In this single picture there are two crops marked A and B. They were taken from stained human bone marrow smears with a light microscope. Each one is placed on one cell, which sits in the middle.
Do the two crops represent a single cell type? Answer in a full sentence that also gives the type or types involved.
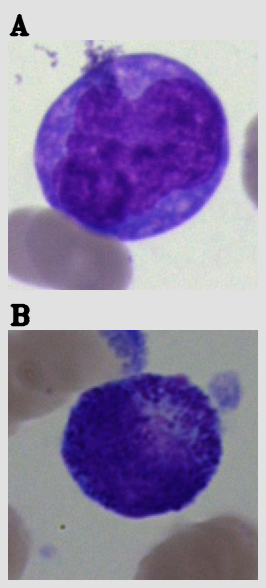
No, for crop A the cell is a blast, and for crop B it is a myelocyte.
